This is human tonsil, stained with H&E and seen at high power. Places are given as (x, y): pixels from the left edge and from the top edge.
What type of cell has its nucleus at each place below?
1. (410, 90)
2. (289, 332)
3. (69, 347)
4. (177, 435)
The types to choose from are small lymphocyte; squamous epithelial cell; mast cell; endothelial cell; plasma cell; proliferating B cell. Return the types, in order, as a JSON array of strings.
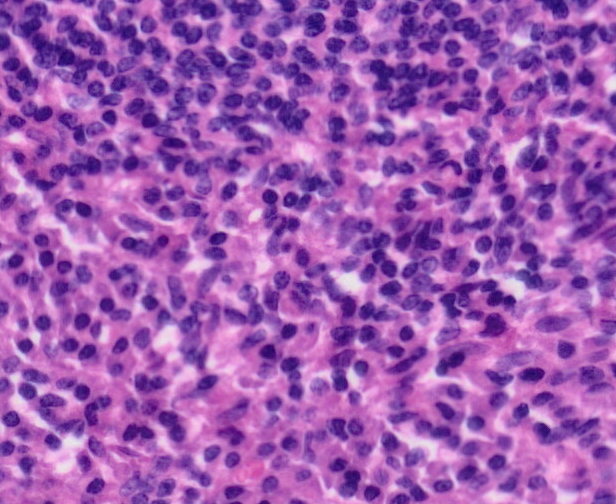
["small lymphocyte", "plasma cell", "plasma cell", "plasma cell"]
